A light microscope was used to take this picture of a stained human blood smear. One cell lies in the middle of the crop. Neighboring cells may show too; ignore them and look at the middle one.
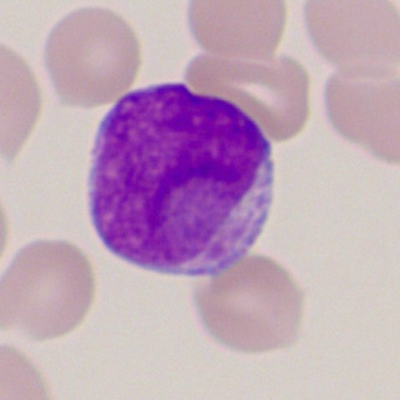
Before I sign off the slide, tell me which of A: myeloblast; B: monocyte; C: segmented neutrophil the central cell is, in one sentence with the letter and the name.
Of the options given, A is correct, the central cell being a myeloblast.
